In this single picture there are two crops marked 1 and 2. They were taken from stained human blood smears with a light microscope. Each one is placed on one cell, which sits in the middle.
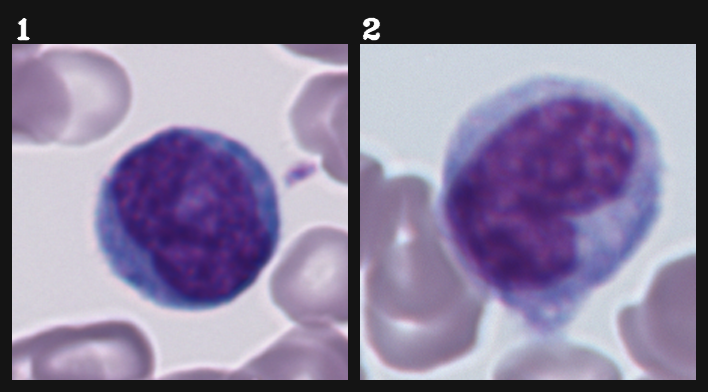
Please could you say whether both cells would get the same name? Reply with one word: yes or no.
yes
